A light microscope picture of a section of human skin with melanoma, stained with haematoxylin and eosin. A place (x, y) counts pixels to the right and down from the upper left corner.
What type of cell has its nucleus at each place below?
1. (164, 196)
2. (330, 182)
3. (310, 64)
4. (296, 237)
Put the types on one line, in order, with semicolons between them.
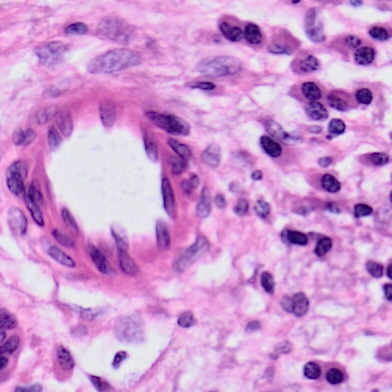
endothelial cell; plasma cell; plasma cell; plasma cell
